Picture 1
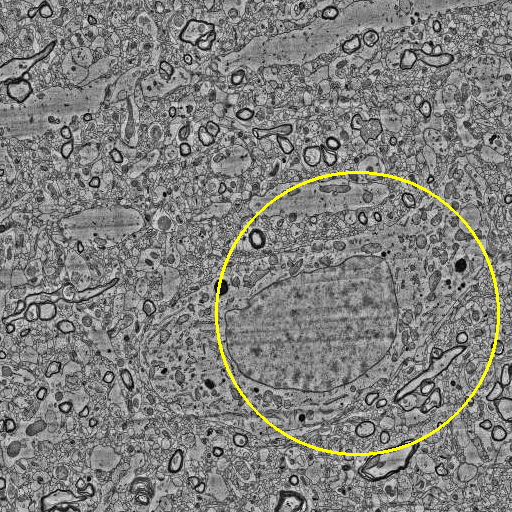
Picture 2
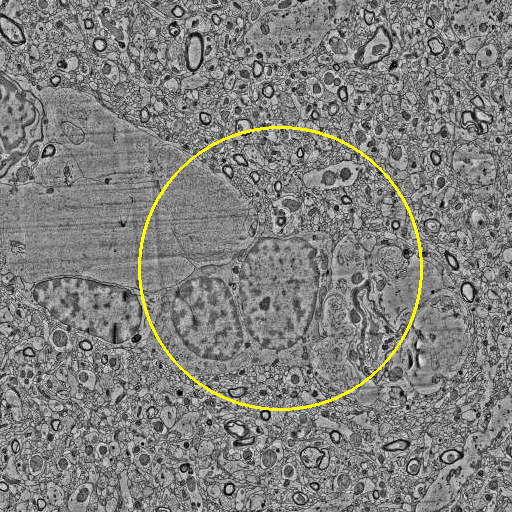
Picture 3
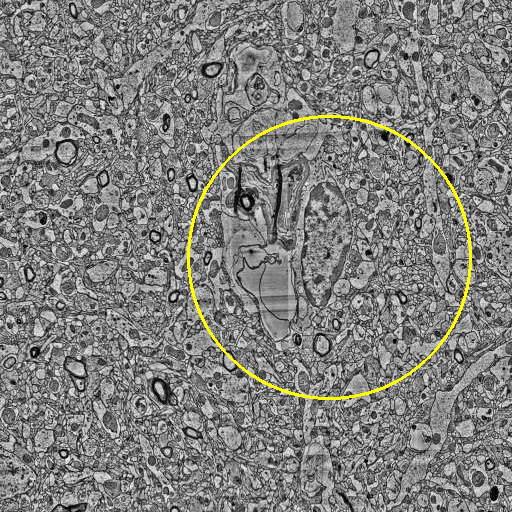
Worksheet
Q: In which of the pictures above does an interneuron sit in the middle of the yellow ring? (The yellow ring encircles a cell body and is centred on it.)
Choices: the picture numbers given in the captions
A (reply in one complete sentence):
In picture 1, the cell sitting at the centre of the ring is the match.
